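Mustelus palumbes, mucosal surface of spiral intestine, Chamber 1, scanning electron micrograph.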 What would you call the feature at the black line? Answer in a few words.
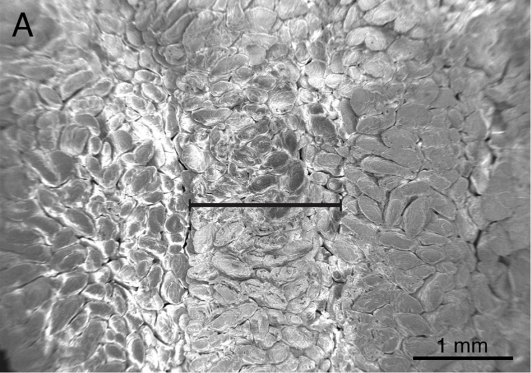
large ridges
